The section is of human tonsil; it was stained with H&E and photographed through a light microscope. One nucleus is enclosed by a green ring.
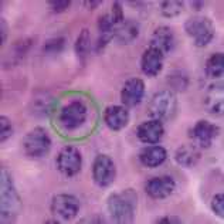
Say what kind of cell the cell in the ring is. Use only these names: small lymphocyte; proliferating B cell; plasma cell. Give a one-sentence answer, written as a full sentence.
In the tissue under study, the cell in the ring is a plasma cell.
